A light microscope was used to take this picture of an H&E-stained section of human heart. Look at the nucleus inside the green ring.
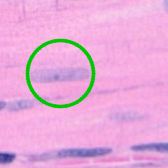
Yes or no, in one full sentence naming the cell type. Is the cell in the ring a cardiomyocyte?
Yes, to put it simply, the cell in the ring is a cardiomyocyte.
